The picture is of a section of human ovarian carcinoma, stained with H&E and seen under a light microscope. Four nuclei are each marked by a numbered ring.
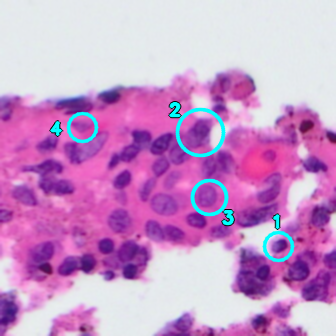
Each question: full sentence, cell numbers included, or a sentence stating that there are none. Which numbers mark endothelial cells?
Cell 4 is an endothelial cell, and it is the only numbered cell that is.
